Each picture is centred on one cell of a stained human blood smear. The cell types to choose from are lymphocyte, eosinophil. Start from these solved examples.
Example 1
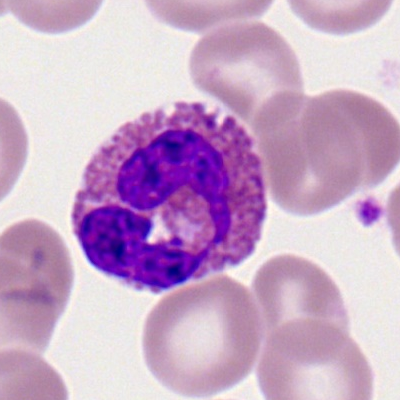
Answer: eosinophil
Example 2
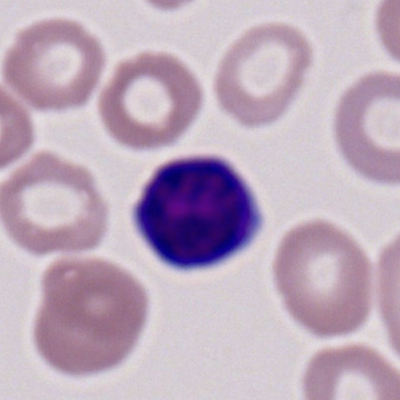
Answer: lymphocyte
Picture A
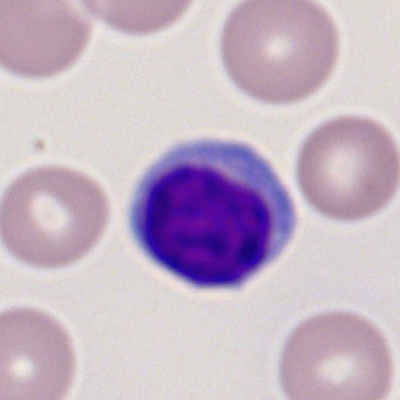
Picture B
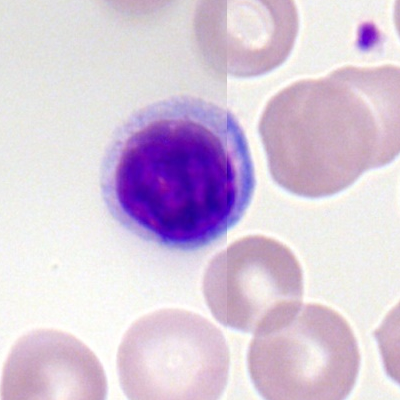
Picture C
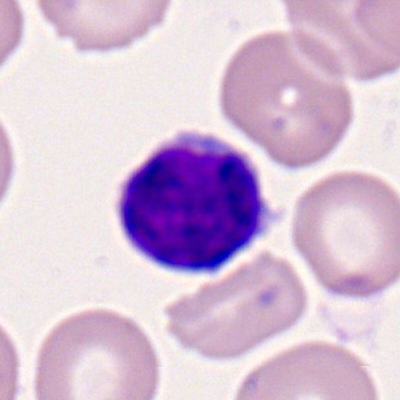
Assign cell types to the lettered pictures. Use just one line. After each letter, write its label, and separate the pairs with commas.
A lymphocyte, B lymphocyte, C lymphocyte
